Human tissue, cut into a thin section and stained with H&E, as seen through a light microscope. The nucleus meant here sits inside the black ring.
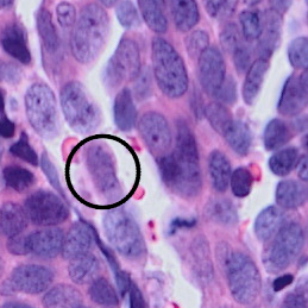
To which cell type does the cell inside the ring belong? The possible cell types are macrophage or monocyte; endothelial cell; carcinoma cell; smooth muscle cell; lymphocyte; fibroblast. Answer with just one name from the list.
carcinoma cell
